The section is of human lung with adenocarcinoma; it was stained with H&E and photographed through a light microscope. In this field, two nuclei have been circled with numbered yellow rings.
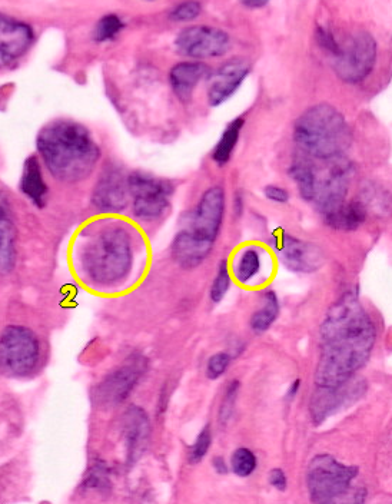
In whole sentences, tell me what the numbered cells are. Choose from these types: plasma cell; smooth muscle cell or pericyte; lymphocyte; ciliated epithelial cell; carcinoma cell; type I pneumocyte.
Cell 1 is a lymphocyte. Cell 2 is a carcinoma cell.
